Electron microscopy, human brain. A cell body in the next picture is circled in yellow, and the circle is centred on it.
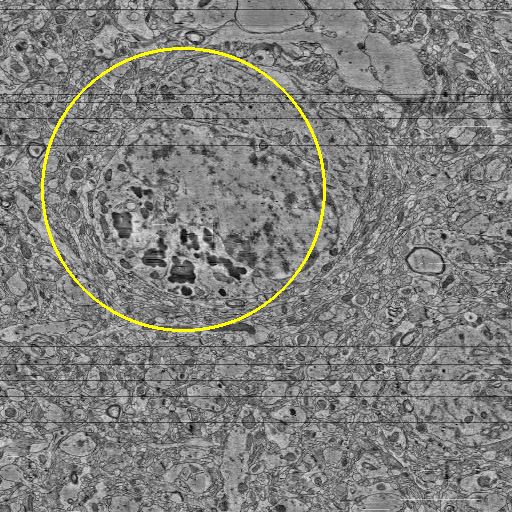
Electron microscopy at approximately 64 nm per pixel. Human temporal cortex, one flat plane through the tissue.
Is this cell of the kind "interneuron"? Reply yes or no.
yes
